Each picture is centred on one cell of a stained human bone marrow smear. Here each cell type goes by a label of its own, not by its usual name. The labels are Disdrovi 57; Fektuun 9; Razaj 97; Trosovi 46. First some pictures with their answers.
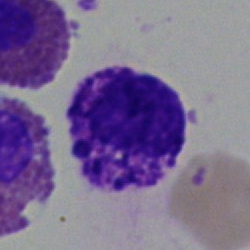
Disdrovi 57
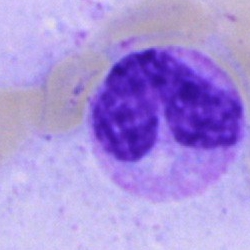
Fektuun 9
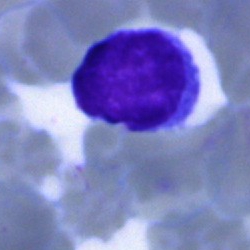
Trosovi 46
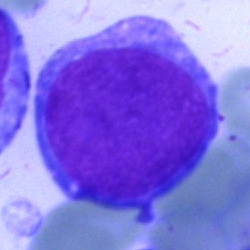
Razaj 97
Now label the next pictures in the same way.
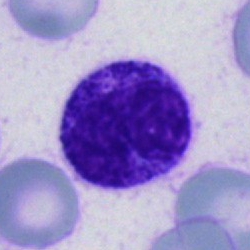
Disdrovi 57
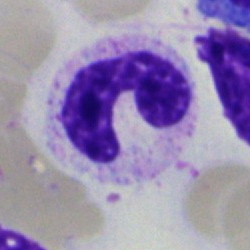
Fektuun 9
